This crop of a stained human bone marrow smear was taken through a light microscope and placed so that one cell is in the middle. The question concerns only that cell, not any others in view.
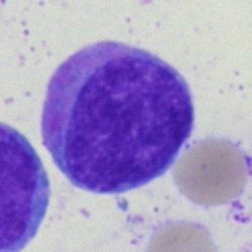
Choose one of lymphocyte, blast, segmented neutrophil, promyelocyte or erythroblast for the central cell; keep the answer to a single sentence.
On this slide crop, the central cell is a promyelocyte.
